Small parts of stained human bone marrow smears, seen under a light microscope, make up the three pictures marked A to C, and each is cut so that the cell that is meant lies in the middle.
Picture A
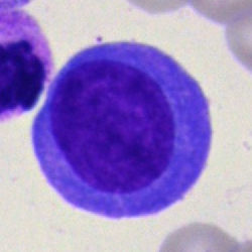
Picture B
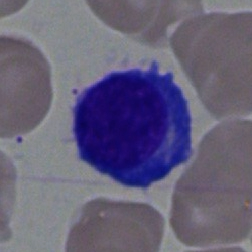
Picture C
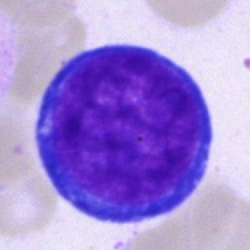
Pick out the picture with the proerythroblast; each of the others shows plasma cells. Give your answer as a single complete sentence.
The proerythroblast is the one in picture C.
